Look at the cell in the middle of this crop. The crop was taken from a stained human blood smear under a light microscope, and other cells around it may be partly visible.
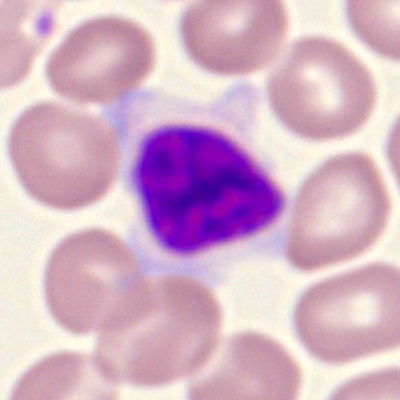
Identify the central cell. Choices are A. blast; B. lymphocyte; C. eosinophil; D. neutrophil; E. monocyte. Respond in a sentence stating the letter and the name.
The correct choice is option B, which identifies the middle cell as a lymphocyte.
